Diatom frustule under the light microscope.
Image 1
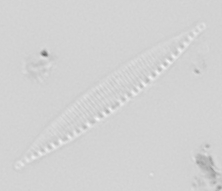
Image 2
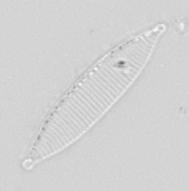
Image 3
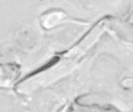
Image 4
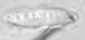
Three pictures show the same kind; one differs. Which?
Picture 3: Achnanthidium, while the others are Nitzschia.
